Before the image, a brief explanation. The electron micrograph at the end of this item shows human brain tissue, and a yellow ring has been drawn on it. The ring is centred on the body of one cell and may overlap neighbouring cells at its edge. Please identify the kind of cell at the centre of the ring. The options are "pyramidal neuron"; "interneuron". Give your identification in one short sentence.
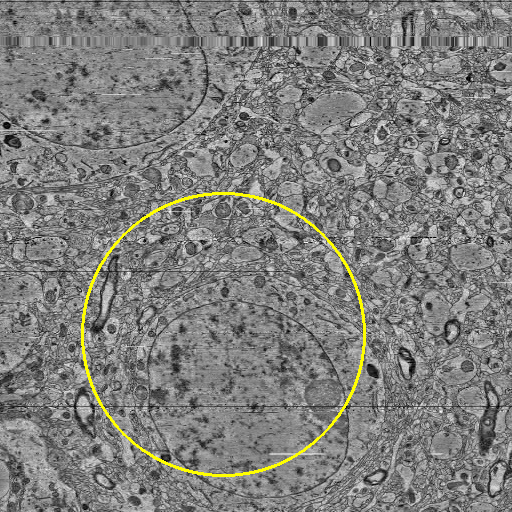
The ring has been placed around a pyramidal neuron.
